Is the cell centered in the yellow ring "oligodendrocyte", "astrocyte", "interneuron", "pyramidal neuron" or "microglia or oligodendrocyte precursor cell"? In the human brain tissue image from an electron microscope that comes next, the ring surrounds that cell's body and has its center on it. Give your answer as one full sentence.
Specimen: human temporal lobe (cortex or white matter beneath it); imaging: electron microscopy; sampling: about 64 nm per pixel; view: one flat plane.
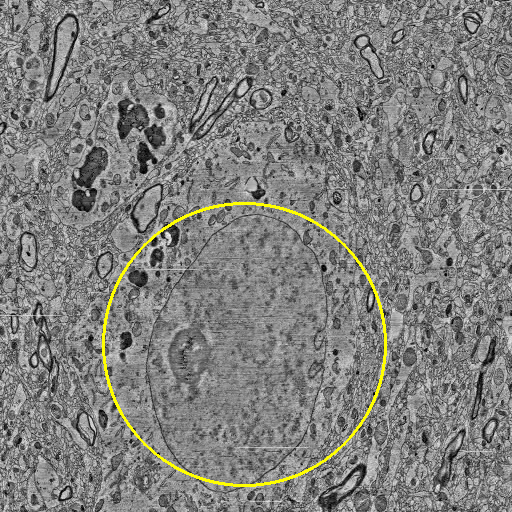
The cell at the center of the yellow ring is a pyramidal neuron in the micrograph.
